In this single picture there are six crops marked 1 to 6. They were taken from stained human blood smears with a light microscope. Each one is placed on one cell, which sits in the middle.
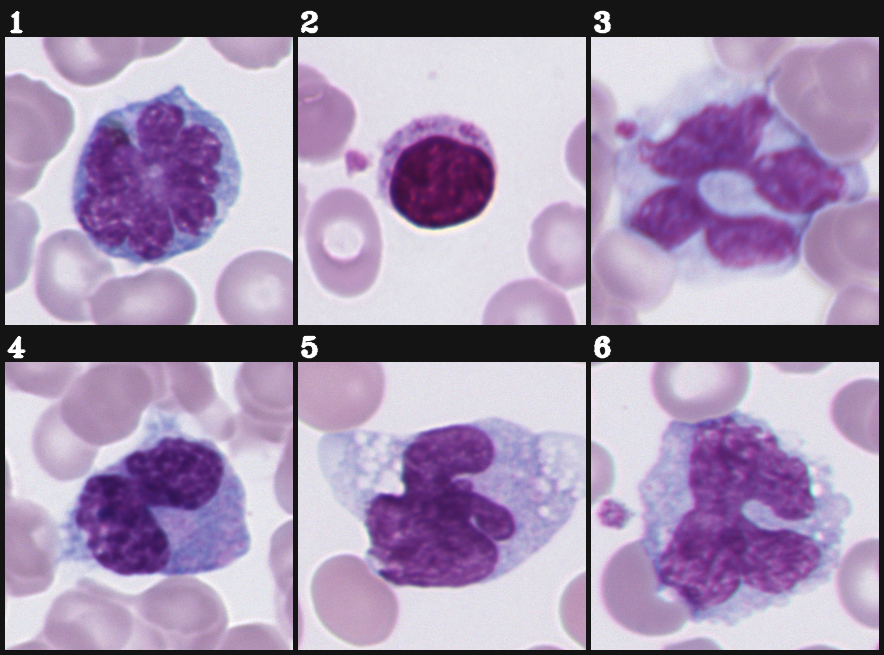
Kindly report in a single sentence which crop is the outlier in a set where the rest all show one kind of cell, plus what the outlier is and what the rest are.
All the crops show monocytes except crop 2, which shows a large granular lymphocyte.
